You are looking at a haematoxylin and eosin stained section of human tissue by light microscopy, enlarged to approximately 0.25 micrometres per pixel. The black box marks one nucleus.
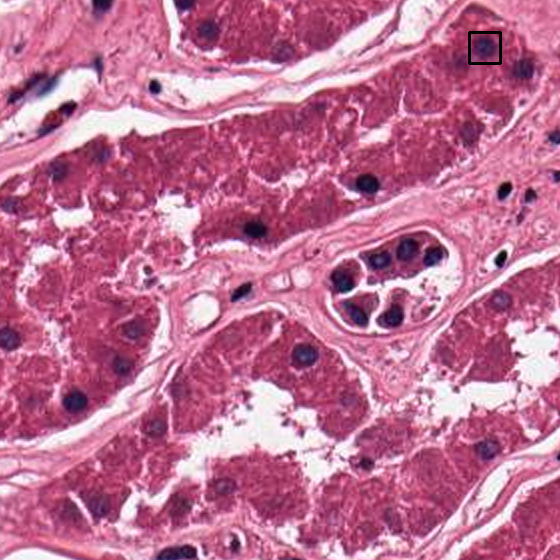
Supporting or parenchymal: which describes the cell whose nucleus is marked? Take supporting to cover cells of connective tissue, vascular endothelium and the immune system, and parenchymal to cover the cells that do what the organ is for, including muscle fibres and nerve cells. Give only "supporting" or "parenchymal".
parenchymal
